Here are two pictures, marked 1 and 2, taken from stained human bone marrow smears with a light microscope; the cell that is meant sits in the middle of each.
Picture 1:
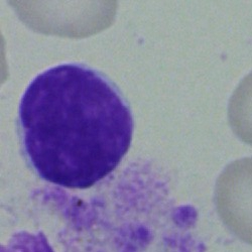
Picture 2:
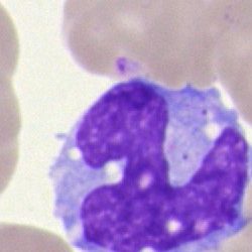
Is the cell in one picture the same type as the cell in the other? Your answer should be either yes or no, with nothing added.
no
